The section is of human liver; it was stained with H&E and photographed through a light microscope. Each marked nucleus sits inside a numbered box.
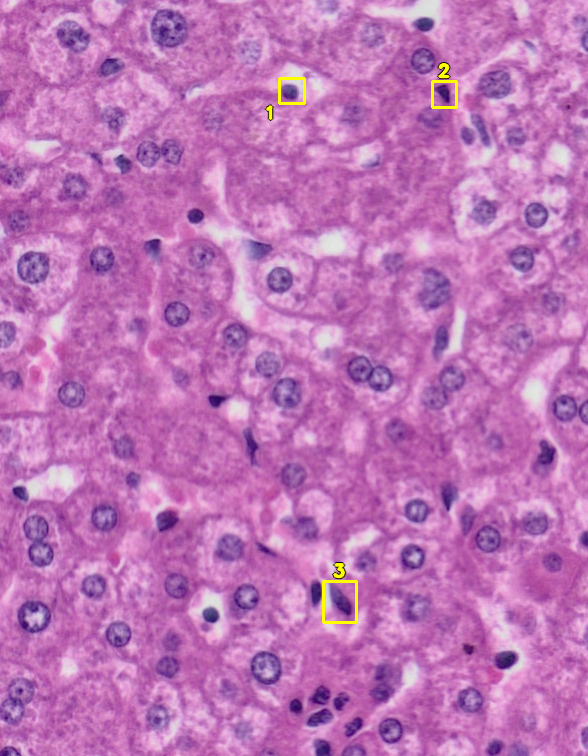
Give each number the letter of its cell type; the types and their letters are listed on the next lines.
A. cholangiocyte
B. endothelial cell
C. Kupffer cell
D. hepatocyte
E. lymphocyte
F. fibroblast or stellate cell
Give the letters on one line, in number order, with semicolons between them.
E; F; C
